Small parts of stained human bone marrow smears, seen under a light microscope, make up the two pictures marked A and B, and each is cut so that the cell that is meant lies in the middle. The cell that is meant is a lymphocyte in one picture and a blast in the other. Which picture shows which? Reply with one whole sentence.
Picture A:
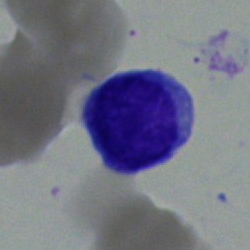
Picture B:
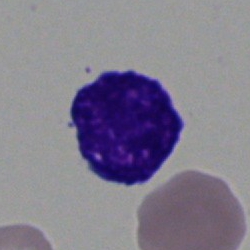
Picture A is of a lymphocyte, and picture B is of a blast.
